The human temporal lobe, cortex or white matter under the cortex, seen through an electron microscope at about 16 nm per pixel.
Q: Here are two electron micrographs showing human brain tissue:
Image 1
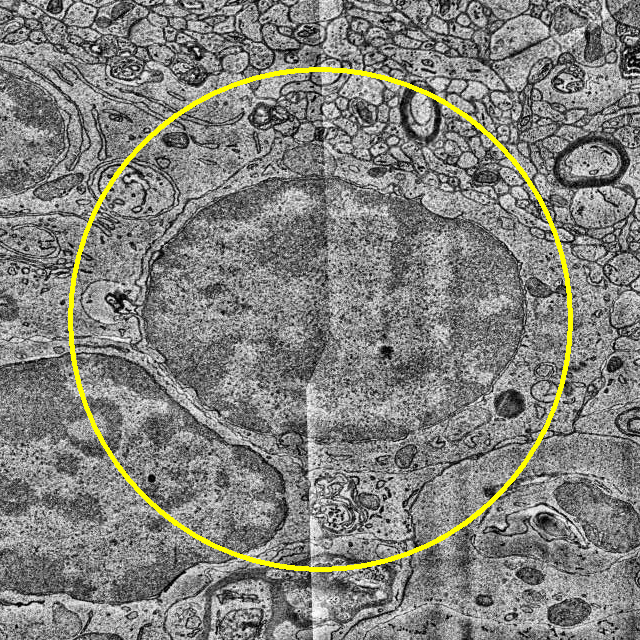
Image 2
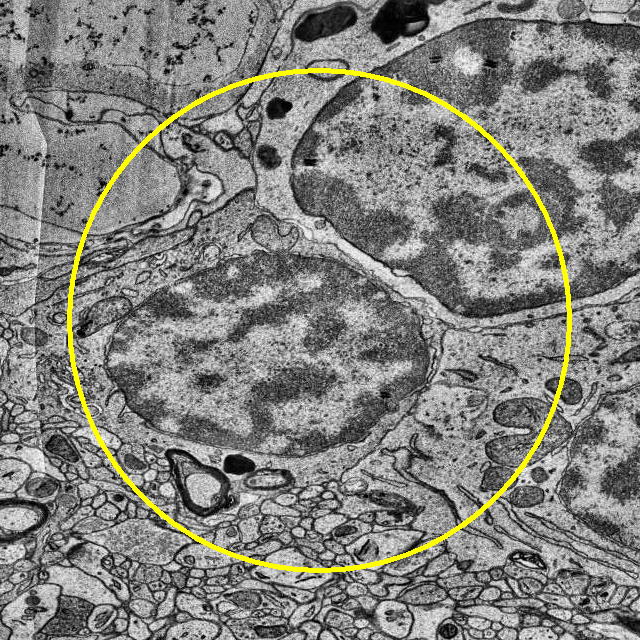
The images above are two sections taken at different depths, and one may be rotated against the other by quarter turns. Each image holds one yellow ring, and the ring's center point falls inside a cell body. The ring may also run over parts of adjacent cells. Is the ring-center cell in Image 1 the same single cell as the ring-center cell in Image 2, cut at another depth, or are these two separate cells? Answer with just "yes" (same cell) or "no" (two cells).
yes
